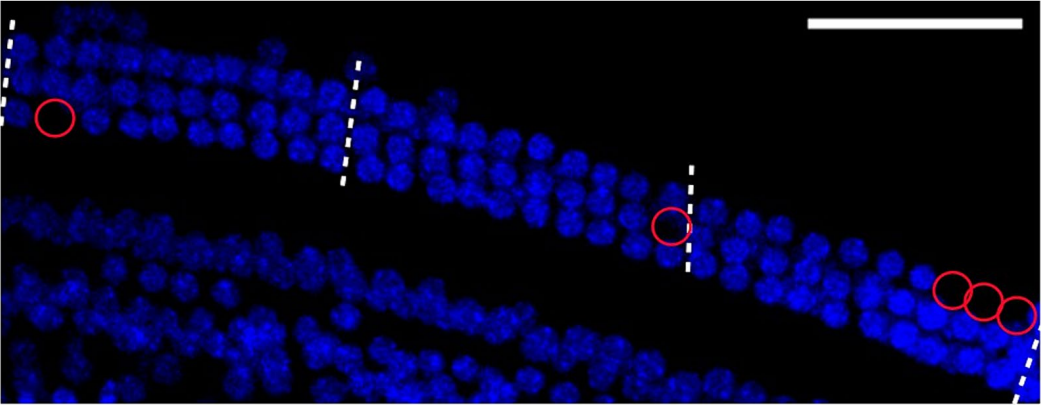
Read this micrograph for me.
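This is a whole-mount view of the organ of Corti in which only the cell nuclei are shown, in blue. Across the upper part runs a band of round, evenly sized nuclei arranged in three neat, parallel rows; these are the nuclei of the outer hair cells. The nuclei sit closely and regularly side by side, each with a faintly speckled interior. In a few places the regular pattern is broken by an empty dark spot where a nucleus should lie, showing that a cell is missing there. Below this band lies a looser, less orderly field of blue nuclei belonging to the neighbouring cells of the organ.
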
